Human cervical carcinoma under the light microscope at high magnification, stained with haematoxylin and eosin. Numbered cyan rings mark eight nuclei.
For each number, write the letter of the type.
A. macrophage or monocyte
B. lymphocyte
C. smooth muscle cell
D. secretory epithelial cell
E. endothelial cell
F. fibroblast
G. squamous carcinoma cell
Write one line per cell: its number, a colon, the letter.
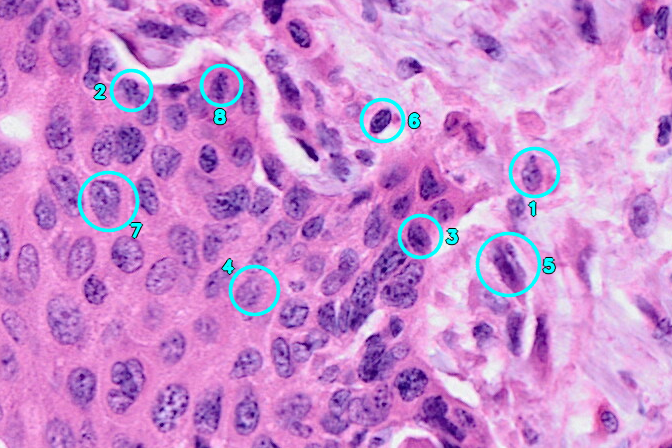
1: A
2: G
3: G
4: G
5: F
6: B
7: G
8: G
